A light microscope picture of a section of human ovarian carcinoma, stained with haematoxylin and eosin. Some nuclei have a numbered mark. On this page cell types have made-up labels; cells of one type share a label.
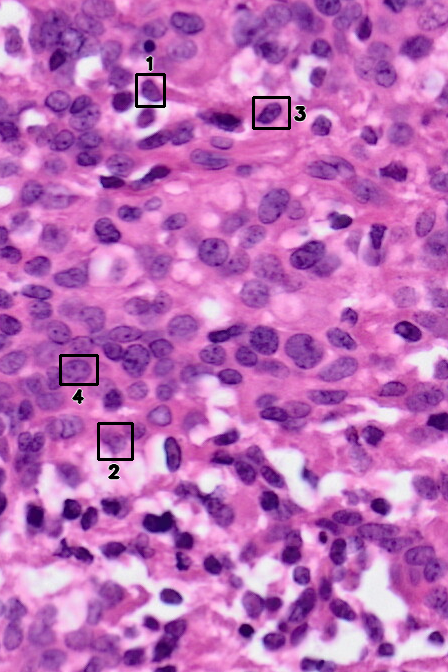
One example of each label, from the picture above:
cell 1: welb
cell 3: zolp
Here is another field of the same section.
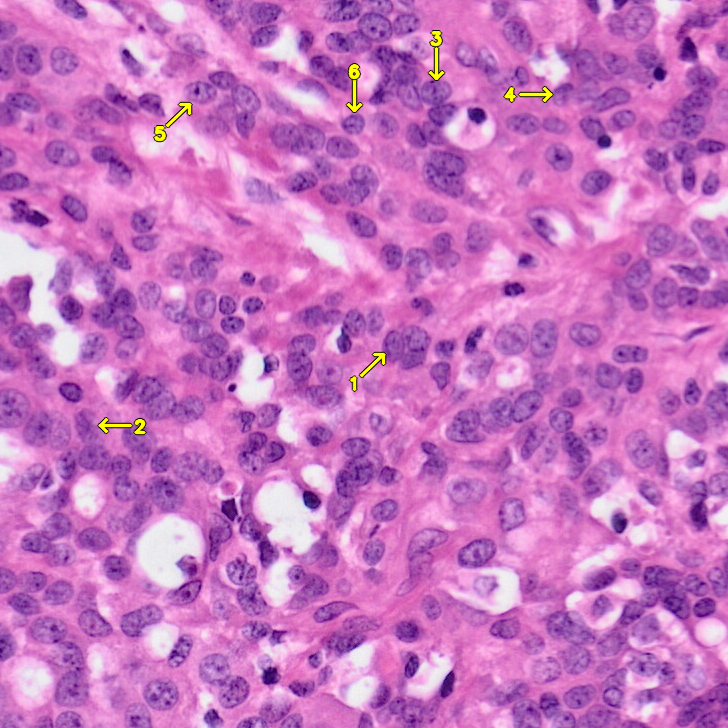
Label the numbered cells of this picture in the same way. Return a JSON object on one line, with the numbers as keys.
{"1": "welb", "2": "welb", "3": "welb", "4": "welb", "5": "zolp", "6": "zolp"}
